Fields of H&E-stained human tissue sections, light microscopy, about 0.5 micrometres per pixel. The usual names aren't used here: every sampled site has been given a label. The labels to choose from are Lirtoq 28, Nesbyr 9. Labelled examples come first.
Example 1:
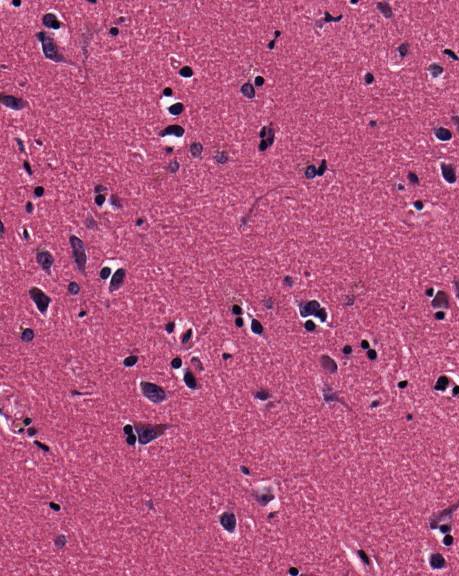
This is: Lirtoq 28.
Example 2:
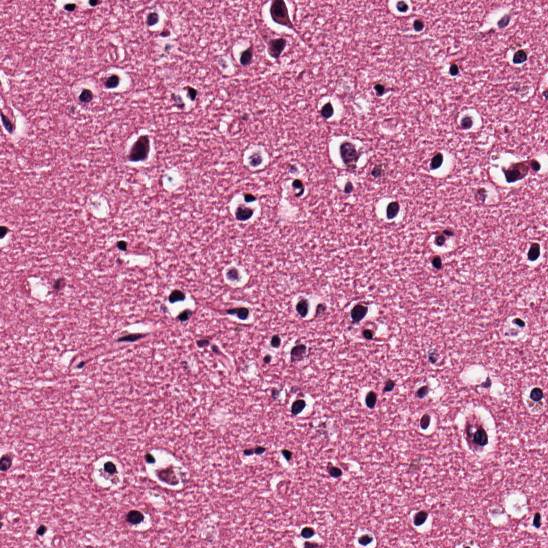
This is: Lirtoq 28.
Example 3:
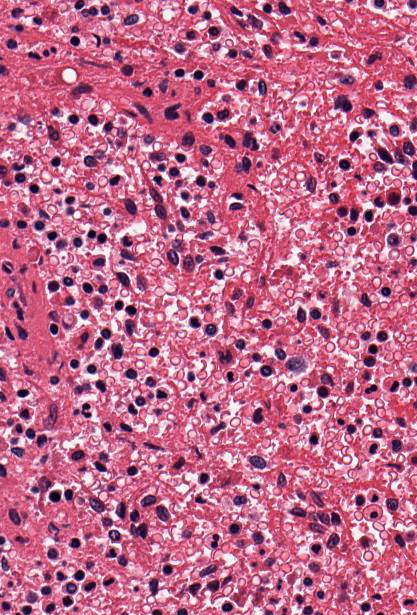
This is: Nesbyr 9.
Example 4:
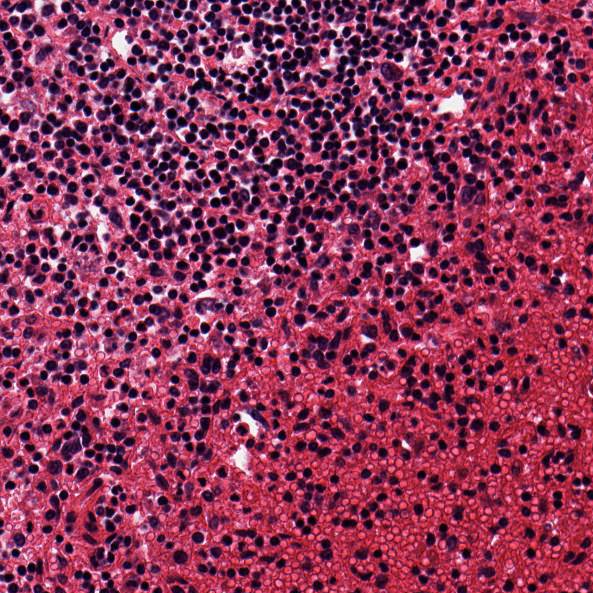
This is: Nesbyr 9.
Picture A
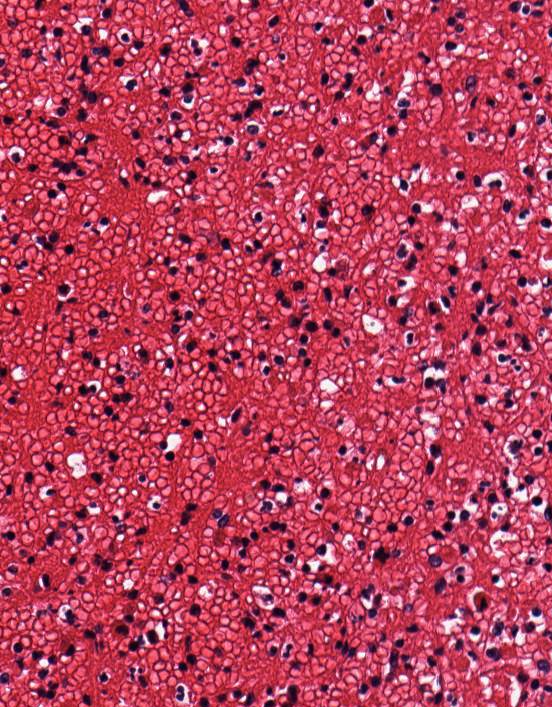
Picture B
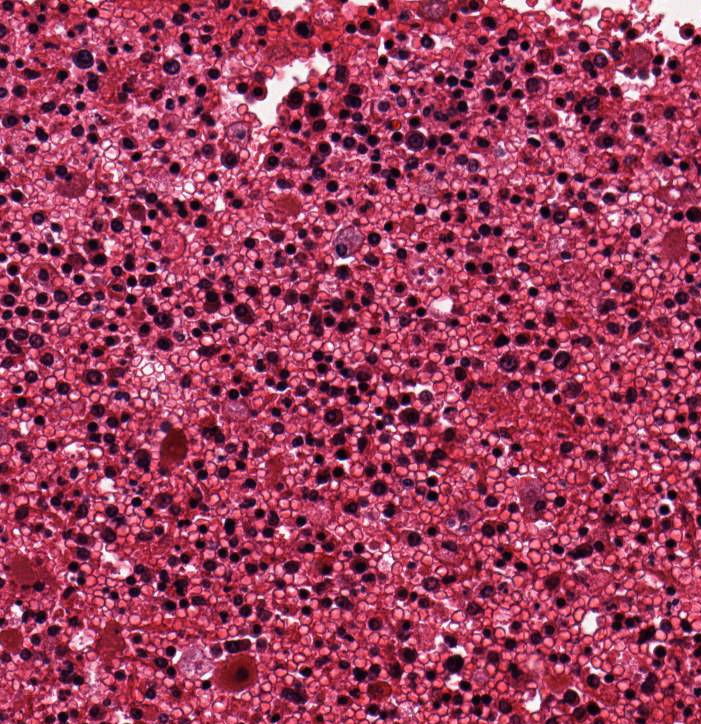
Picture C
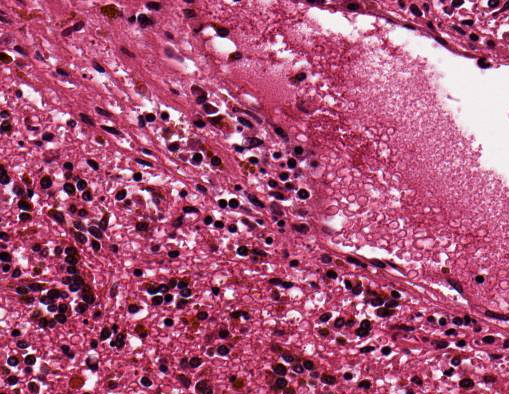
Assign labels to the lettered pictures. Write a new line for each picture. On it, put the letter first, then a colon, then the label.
A: Nesbyr 9.
B: Nesbyr 9.
C: Nesbyr 9.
